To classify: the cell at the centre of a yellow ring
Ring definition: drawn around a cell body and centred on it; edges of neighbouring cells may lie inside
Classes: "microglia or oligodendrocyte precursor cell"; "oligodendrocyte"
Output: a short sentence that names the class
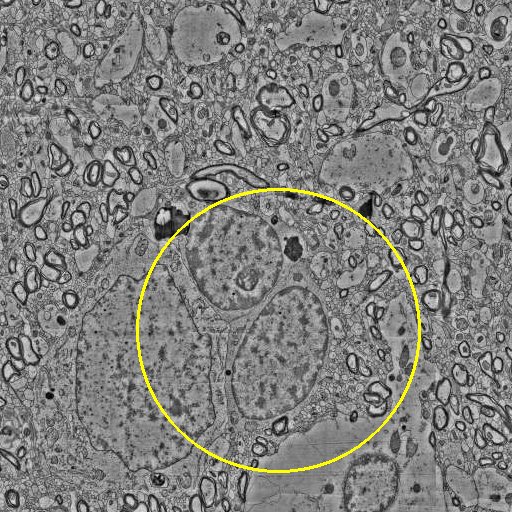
The ringed cell is an oligodendrocyte.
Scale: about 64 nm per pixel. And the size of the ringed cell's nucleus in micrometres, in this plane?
Approximately 9 by 5 micrometers, which makes the nucleus clearly longer than it is wide in this plane.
